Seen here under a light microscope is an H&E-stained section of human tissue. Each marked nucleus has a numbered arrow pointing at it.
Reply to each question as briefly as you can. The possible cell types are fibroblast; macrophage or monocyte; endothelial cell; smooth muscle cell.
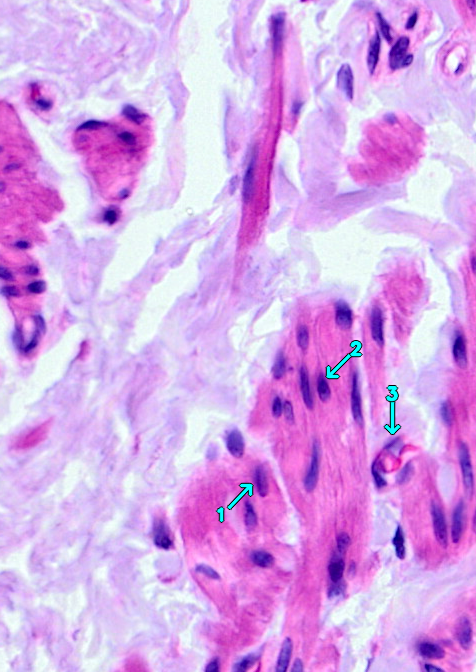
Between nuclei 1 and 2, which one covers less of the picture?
2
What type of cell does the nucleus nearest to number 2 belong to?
smooth muscle cell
